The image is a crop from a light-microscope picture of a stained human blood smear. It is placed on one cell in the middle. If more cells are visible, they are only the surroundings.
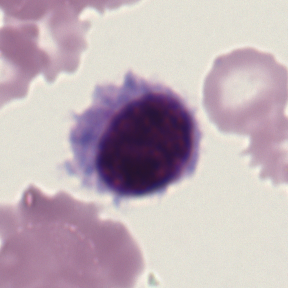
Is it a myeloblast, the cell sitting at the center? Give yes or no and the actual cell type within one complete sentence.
No, a myeloblast is not what the central cell is; it is a hairy cell.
